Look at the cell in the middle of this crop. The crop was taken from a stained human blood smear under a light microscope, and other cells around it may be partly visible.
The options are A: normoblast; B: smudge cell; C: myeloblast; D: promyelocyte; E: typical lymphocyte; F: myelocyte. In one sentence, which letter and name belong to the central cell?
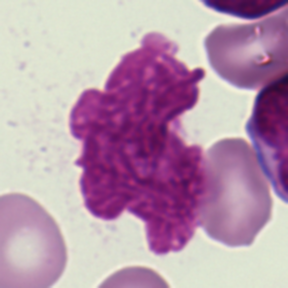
Option B, which names the central cell as a smudge cell, is correct.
